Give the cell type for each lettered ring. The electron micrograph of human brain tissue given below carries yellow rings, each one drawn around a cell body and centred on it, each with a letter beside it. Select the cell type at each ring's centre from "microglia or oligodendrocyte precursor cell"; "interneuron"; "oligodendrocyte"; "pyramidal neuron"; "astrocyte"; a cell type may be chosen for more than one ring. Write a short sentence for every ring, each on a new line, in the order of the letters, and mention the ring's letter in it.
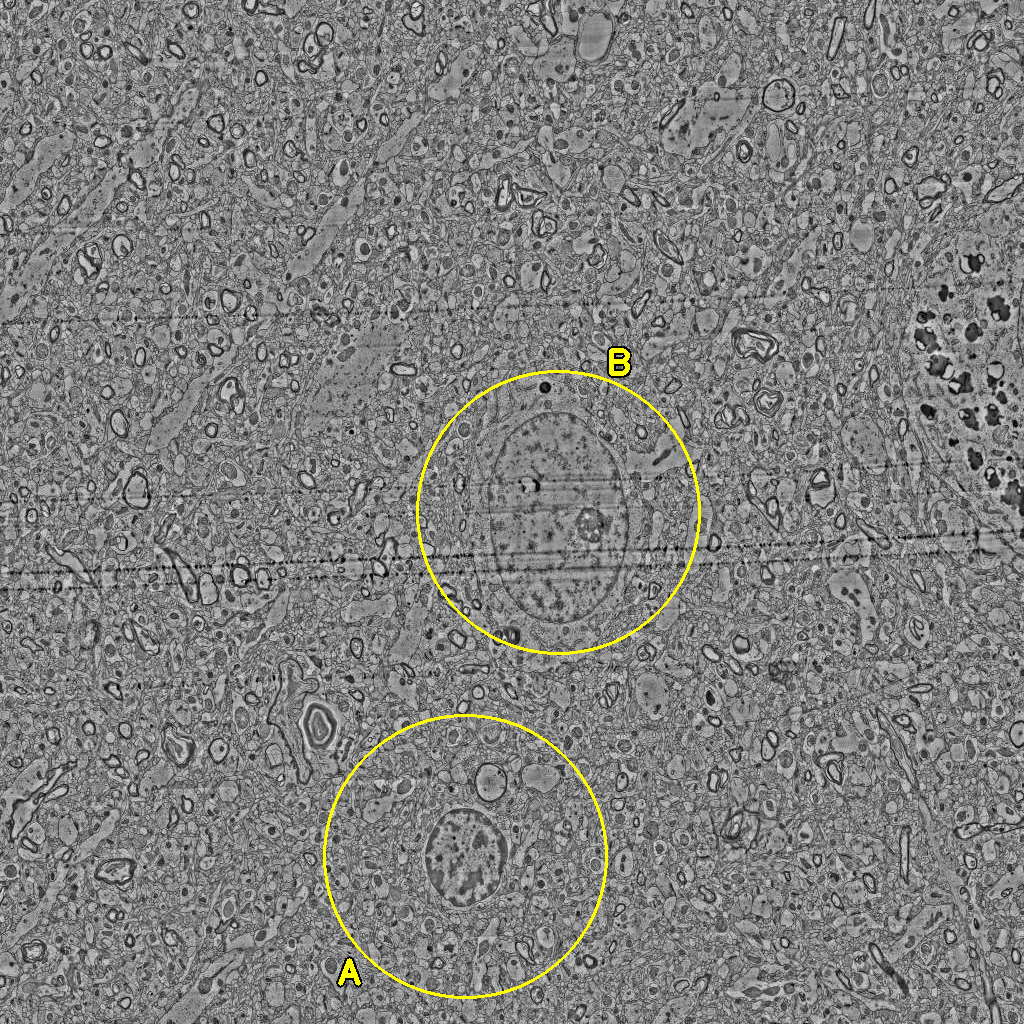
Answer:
The cell type for ring A is a microglial cell or oligodendrocyte precursor cell.
The cell type for ring B is an interneuron.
